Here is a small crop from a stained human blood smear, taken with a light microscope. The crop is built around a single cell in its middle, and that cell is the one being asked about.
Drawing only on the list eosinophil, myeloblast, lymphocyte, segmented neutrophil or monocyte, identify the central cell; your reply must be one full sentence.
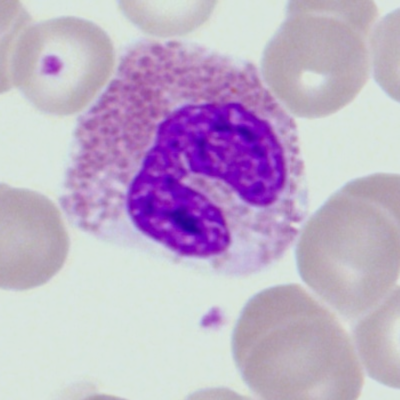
What the crop centres on is an eosinophil.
